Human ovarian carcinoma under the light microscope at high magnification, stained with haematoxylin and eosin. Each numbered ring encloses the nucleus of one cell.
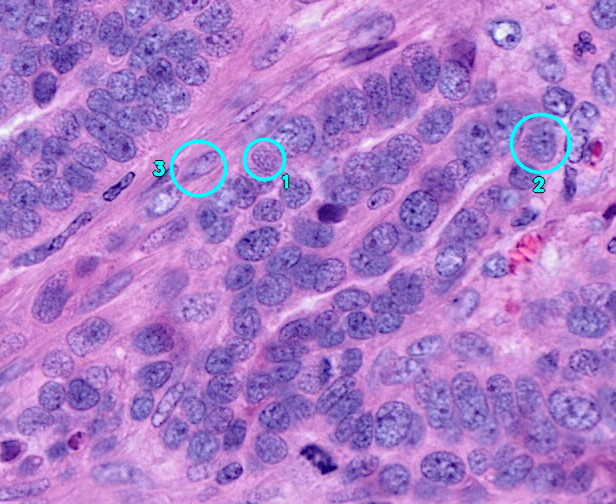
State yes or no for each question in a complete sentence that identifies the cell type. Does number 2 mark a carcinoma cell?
Yes, the cell whose number is 2 is a carcinoma cell.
